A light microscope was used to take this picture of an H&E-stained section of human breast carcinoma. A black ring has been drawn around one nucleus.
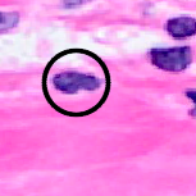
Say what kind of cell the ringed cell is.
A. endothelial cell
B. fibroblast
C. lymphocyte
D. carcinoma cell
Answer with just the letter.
C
